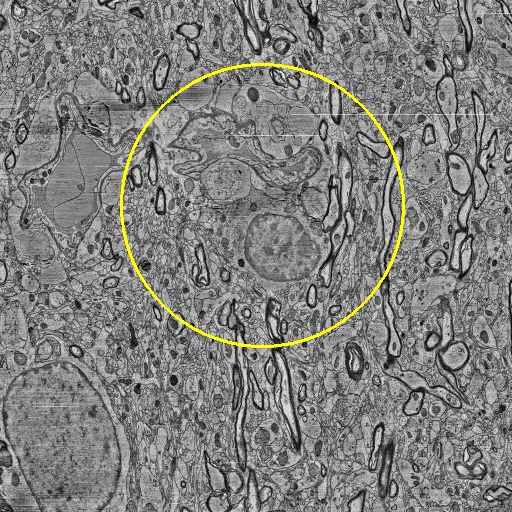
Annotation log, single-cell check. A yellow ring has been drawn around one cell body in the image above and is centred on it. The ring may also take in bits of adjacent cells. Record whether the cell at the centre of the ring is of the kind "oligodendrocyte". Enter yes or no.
yes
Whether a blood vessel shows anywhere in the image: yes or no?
Yes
